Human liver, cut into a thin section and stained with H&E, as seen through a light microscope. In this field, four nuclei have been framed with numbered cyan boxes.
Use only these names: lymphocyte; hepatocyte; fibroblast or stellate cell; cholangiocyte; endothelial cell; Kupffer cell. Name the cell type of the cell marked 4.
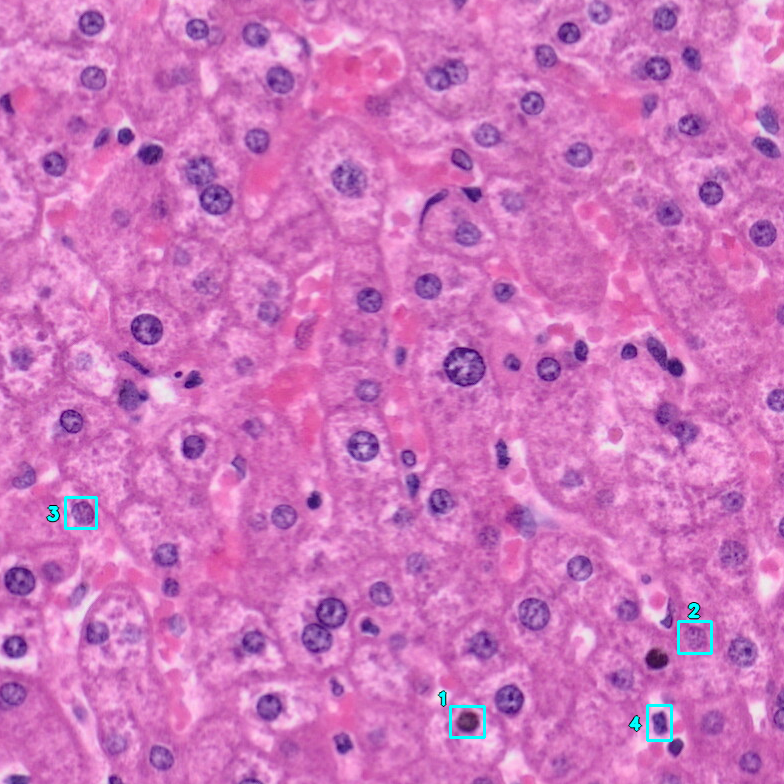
lymphocyte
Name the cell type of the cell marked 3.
hepatocyte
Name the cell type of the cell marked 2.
hepatocyte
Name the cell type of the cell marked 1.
hepatocyte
